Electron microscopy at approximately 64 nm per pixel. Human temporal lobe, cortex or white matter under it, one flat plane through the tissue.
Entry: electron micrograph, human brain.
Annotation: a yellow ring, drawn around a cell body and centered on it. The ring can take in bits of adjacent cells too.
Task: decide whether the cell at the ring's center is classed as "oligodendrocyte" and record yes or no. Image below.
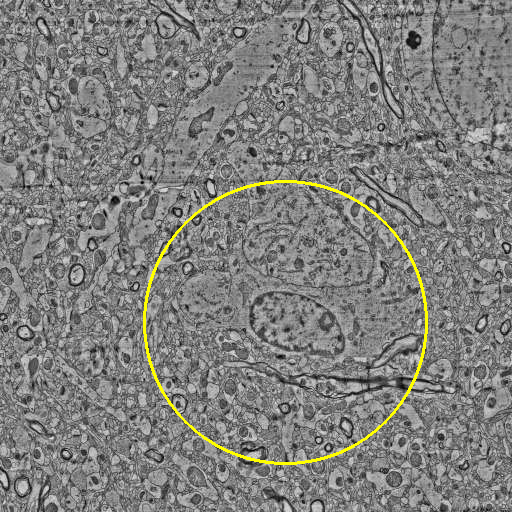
no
